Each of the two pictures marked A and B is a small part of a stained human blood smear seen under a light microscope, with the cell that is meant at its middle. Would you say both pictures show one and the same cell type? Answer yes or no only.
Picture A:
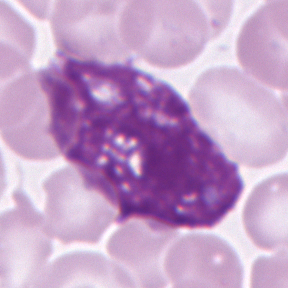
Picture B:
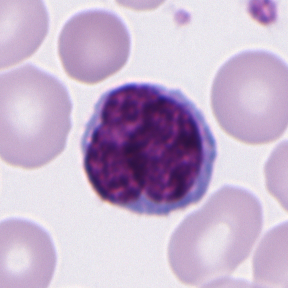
no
